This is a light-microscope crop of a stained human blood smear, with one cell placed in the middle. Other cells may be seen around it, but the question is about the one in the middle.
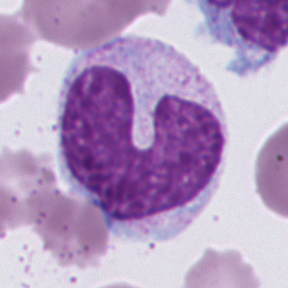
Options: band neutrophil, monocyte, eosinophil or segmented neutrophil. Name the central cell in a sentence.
Within this crop, a band neutrophil occupies the central position.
